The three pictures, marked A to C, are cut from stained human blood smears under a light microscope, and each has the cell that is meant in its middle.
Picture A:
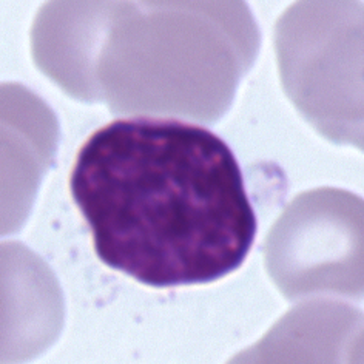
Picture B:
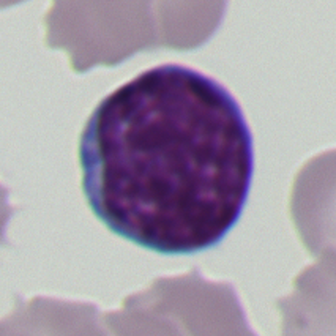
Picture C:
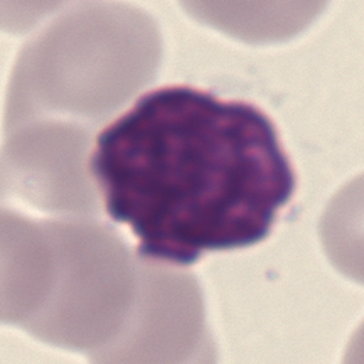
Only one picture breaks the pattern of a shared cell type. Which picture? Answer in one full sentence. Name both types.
Unlike the rest, which show smudge cells, picture B shows a typical lymphocyte.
